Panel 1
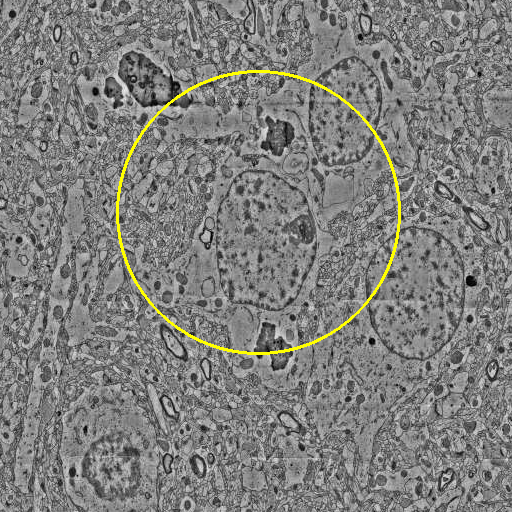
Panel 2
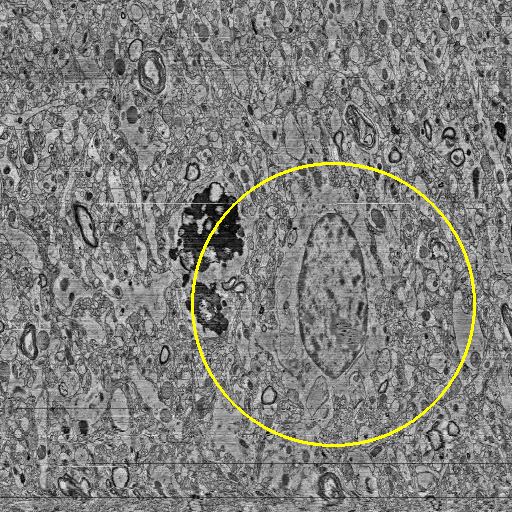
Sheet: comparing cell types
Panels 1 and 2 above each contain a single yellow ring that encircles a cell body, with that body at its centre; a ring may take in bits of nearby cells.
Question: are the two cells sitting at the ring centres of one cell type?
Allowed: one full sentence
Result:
Yes, the ring-centre cells in Panel 1 and Panel 2 are of one type.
